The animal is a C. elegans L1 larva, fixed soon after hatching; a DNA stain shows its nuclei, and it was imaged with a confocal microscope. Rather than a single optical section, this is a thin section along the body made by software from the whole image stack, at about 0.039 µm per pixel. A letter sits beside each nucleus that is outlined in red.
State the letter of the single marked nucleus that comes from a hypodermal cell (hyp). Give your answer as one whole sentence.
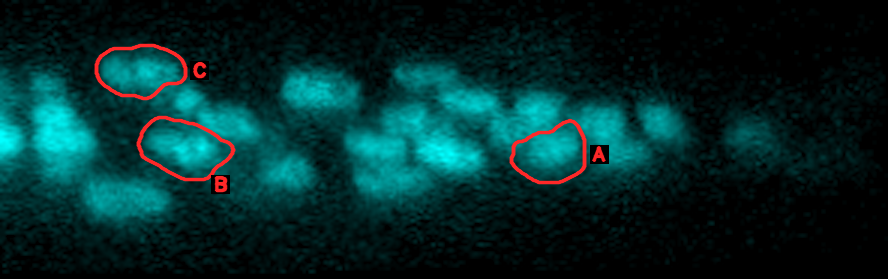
Nucleus A belongs to a hypodermal cell (hyp).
